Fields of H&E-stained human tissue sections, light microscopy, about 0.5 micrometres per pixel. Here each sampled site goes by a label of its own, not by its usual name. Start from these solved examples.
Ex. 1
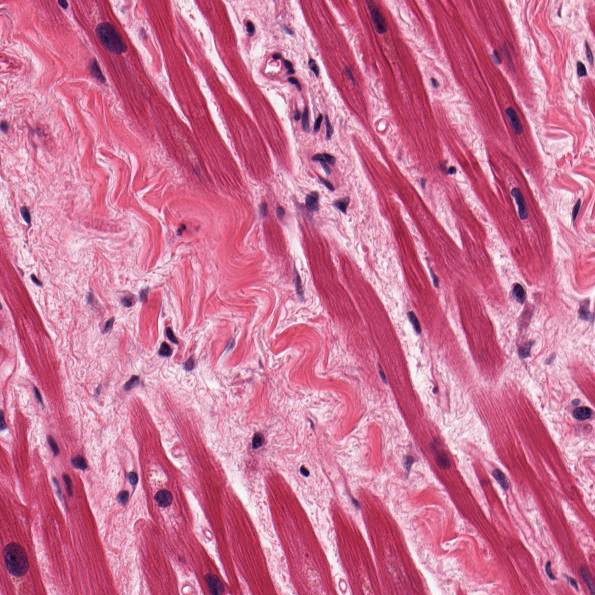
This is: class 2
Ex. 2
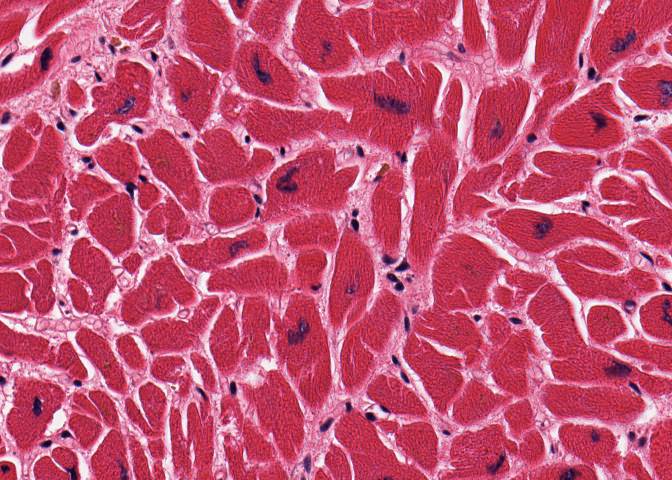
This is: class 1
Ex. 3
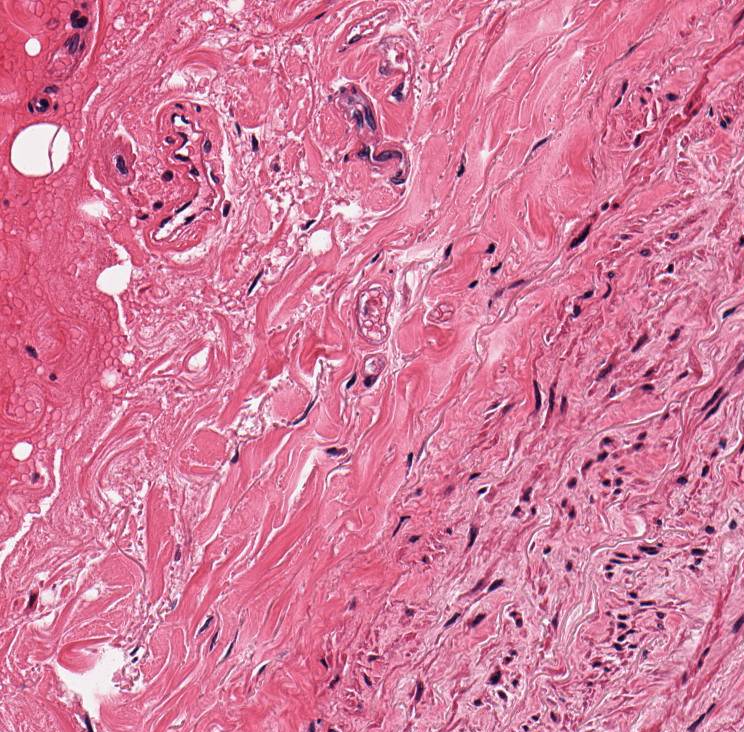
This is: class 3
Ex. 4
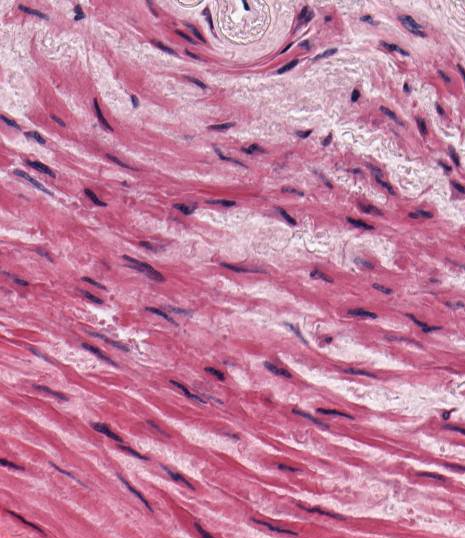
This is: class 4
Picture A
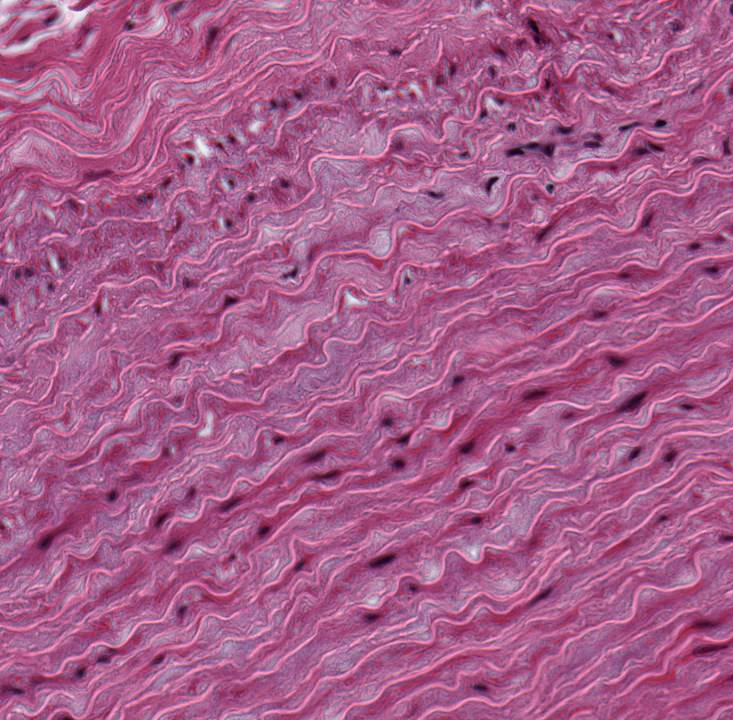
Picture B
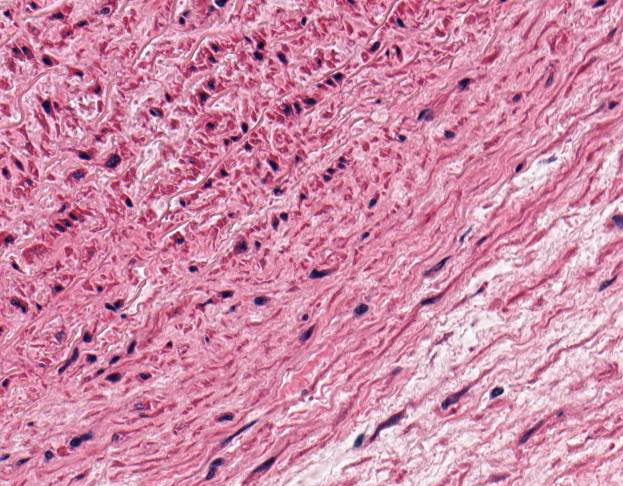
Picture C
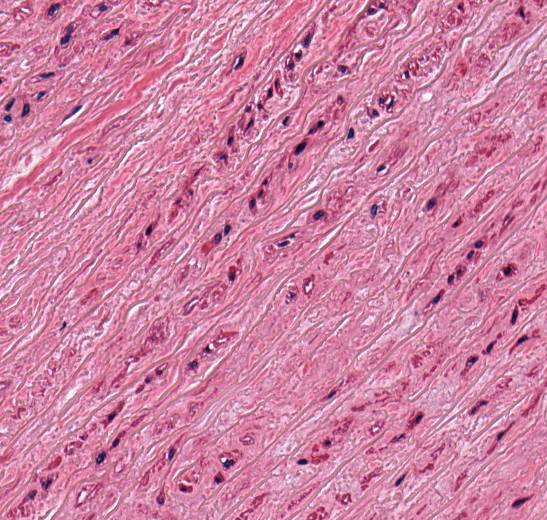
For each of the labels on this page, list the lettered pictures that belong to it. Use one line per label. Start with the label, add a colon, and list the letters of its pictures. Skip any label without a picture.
class 3: A, B, C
